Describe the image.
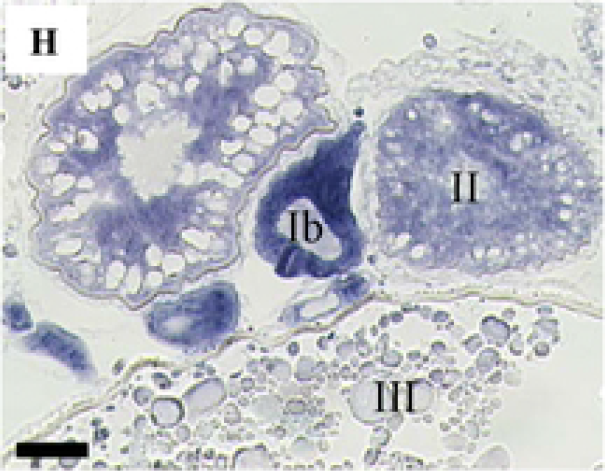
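This is a section of an ovary with several oocytes of different sizes, each wrapped in a thin outer layer. Their cytoplasm takes a blue-purple stain. The smallest oocyte in the middle is stained darkest, almost uniformly, around a paler central nucleus. The larger oocytes beside it are stained more patchily and their cytoplasm is riddled with clear round vacuoles, especially near the rim. At the bottom the largest oocyte is packed with clear globules of varying size and is only faintly stained, so the colour is strongest in the smaller, younger oocytes and fades as they grow.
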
